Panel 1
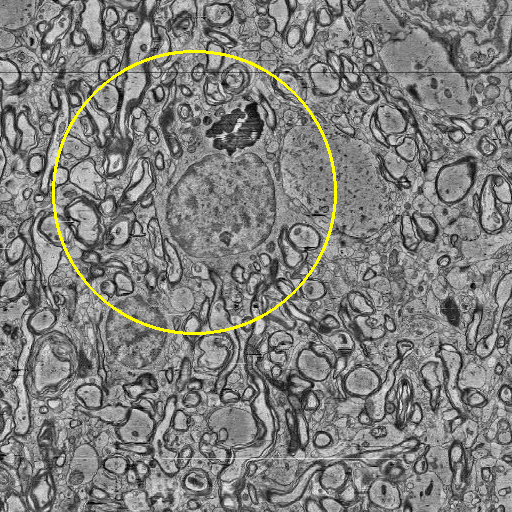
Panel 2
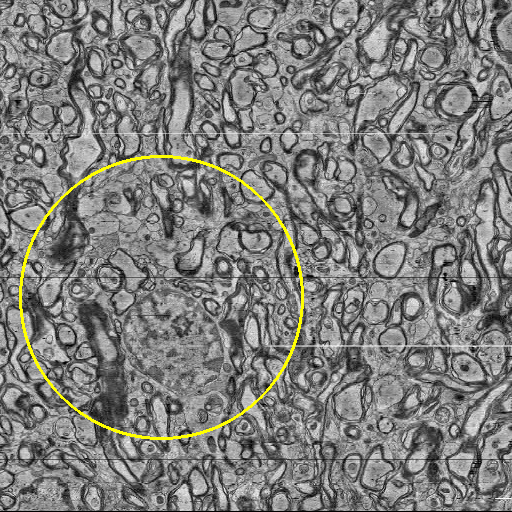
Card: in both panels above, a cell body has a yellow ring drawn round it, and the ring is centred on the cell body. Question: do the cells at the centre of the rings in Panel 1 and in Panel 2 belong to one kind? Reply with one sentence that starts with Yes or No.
Yes, the cells centred in the rings of Panel 1 and Panel 2 are one kind of cell.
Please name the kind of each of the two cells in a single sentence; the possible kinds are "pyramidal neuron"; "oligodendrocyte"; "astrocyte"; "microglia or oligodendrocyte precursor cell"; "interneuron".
In each of the two pictures, the ringed cell is an oligodendrocyte.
